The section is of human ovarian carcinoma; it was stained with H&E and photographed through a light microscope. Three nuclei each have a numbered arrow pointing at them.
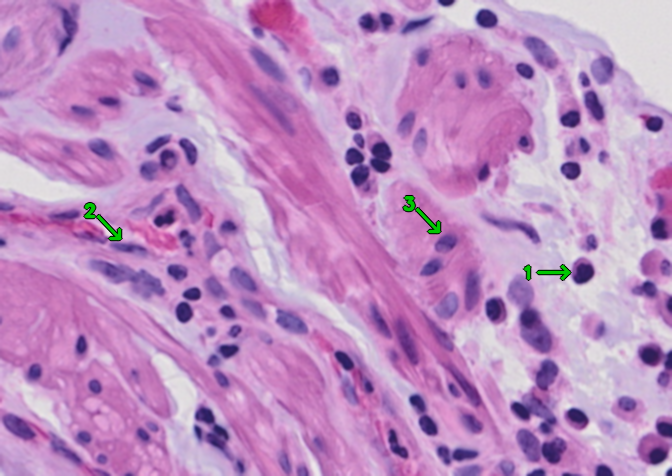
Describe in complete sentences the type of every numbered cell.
Cell 1 is a lymphocyte, cell 2 is an endothelial cell and cell 3 is a smooth muscle cell.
